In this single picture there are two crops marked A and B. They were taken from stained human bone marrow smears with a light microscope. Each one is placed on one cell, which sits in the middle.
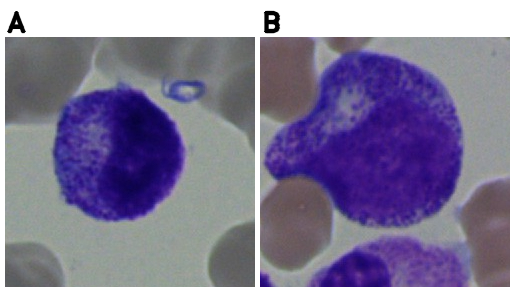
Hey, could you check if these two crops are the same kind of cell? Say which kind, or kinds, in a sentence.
No, a metamyelocyte lies at the centre of crop A, and a myelocyte lies at the centre of crop B.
